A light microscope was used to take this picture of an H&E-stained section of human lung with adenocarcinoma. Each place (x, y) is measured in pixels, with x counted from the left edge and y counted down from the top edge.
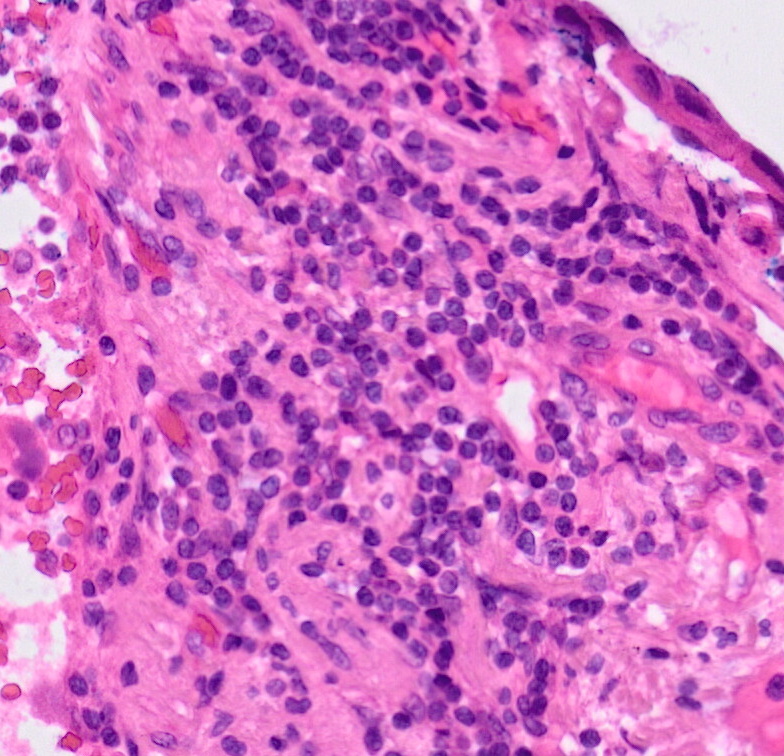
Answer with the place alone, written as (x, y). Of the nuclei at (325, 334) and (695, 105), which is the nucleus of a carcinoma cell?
(695, 105)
